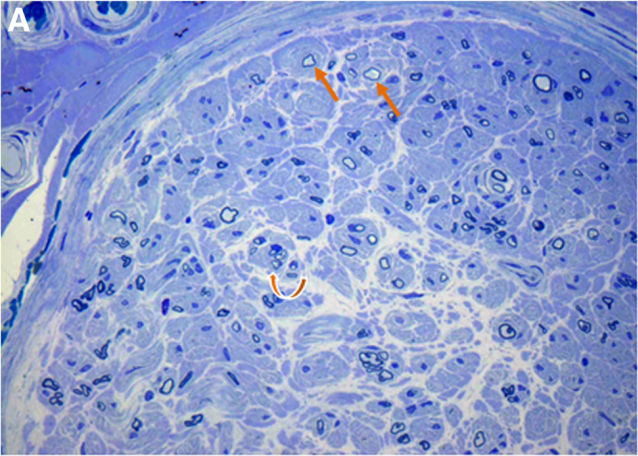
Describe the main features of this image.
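This is a transverse semi-thin section through a nerve fascicle stained blue, in which myelinated fibers show as dark blue rings around pale axons. Some rings are very thin compared with the size of their axon. Here and there small fibers lie grouped closely together. Most of the fascicle is filled with pale blue rounded territories separated by fine pale spaces, and the fascicle is bounded at the upper left by a layered sheath of flattened cells.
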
